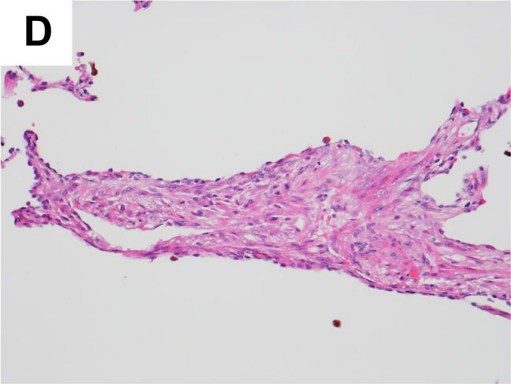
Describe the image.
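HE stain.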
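Lung parenchyma with a bundle of proliferating spindle-shaped cells running across the field between open air spaces. The cells have elongated to oval nuclei and pale pink cytoplasm, and they lie in interlacing fascicles within a pink, fibrillar background. Narrow slit-like spaces separate some of the bundles, and the edges of the lesion are lined by a thin layer of flatter cells facing the air spaces.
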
